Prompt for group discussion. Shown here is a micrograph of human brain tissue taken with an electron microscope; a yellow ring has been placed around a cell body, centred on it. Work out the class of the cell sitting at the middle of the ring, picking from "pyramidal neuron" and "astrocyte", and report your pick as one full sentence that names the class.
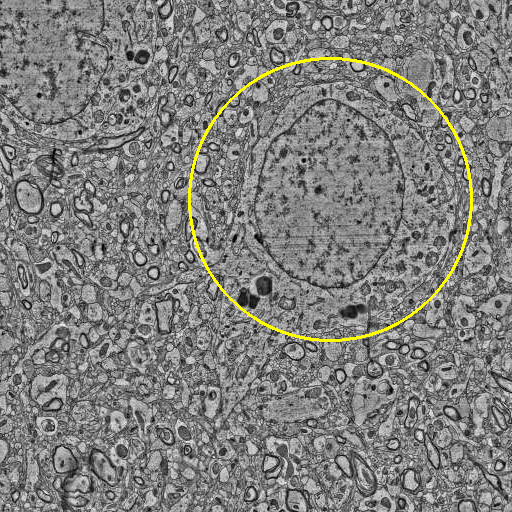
The cell sitting at the middle of the yellow ring is a pyramidal neuron.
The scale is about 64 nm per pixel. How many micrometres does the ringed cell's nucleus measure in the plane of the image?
The nucleus works out at approximately 12 by 10 micrometres in this plane.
